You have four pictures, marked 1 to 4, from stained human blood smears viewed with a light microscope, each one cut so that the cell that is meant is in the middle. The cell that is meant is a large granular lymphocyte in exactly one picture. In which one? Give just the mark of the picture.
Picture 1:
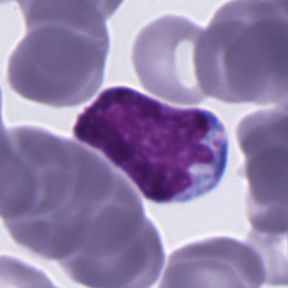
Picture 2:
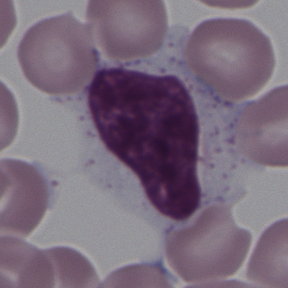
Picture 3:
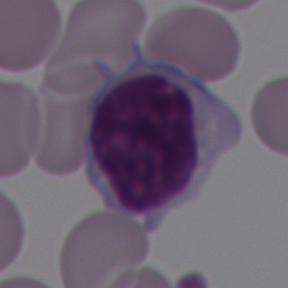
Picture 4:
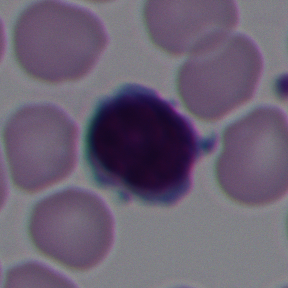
2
